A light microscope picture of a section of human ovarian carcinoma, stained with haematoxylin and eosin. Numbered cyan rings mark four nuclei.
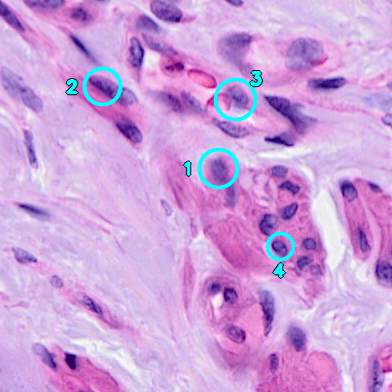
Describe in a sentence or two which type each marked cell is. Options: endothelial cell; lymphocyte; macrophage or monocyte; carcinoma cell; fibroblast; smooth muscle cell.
Cell 1 is a smooth muscle cell, cell 2 is a smooth muscle cell, cell 3 is an endothelial cell and cell 4 is a smooth muscle cell.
